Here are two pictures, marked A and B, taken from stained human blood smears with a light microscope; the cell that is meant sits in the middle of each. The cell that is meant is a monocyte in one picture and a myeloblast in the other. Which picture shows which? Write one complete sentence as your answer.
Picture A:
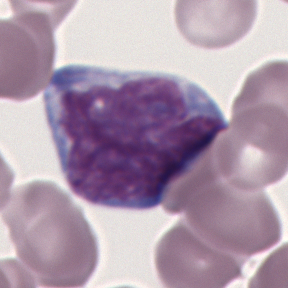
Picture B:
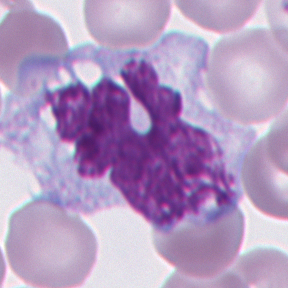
In picture A the cell is a myeloblast; in picture B, a monocyte.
